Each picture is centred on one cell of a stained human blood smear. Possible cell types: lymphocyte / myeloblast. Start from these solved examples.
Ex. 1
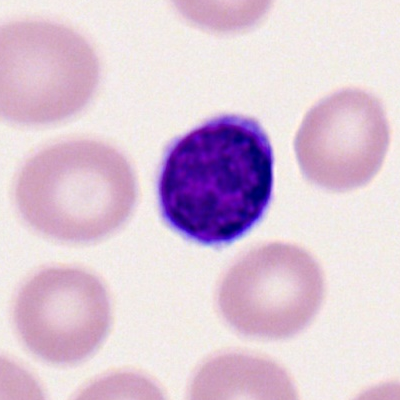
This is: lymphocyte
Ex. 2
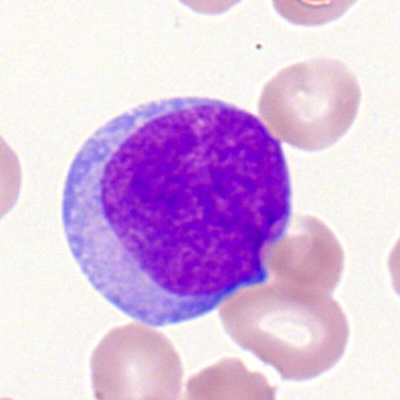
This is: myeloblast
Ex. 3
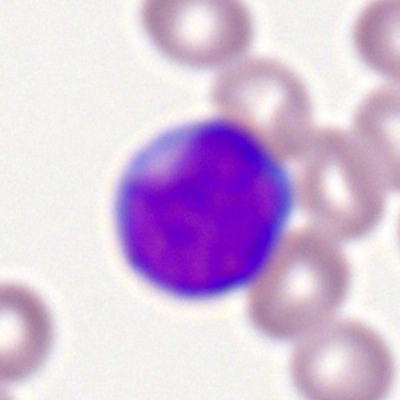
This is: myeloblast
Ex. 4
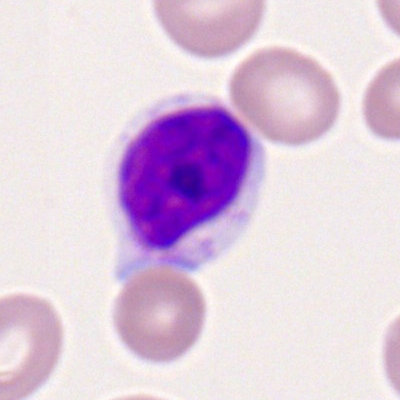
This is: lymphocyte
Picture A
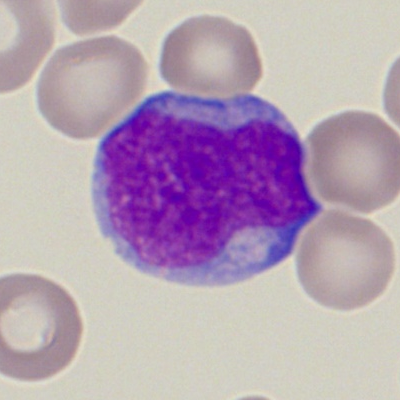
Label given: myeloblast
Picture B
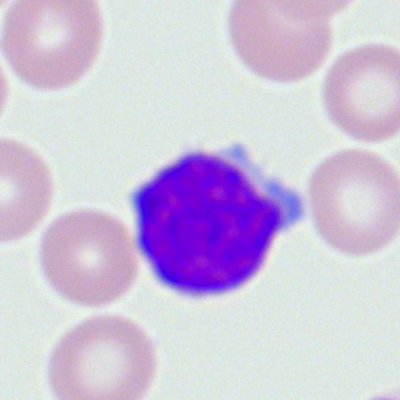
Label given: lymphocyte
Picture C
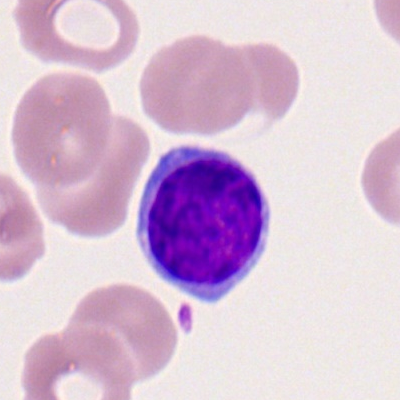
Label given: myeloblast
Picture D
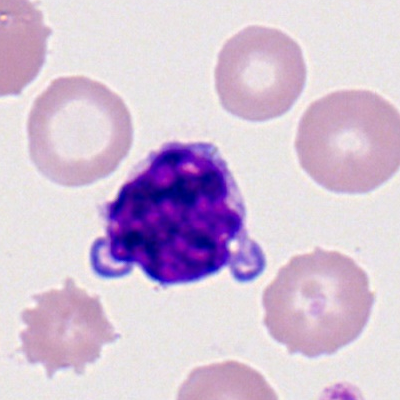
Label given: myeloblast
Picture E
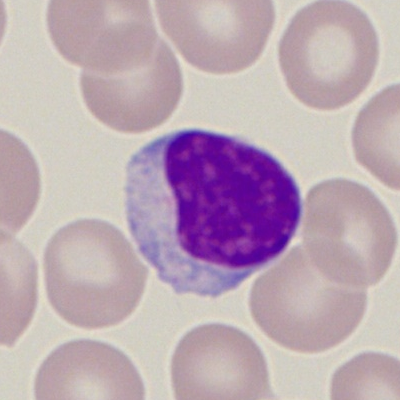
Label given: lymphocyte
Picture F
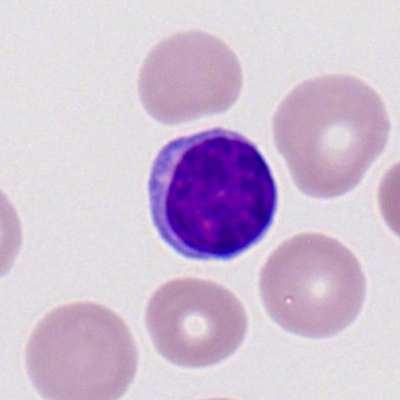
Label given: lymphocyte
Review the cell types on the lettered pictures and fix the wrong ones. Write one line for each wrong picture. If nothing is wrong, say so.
C: change myeloblast to lymphocyte
D: change myeloblast to lymphocyte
